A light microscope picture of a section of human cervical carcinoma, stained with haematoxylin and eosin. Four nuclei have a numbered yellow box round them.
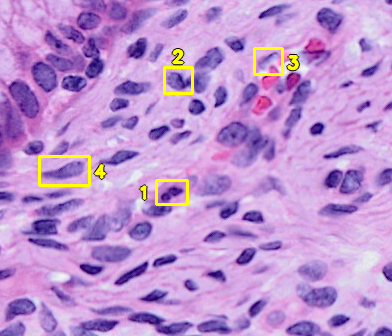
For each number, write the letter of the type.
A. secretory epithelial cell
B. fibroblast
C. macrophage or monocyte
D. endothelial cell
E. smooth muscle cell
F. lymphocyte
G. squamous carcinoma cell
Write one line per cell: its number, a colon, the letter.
1: D
2: B
3: D
4: B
